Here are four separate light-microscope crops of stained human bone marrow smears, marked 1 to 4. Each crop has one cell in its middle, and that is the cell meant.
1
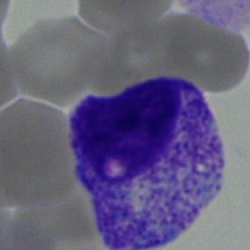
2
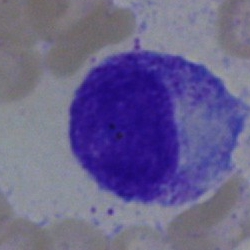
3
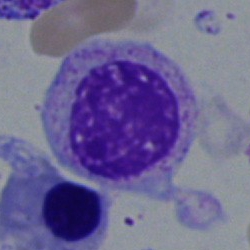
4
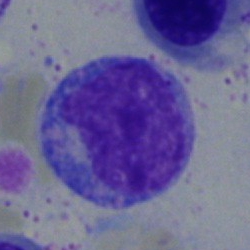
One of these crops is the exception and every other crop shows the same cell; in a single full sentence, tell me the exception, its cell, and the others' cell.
All of the other crops show myelocytes; crop 4, by contrast, is a monocyte.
